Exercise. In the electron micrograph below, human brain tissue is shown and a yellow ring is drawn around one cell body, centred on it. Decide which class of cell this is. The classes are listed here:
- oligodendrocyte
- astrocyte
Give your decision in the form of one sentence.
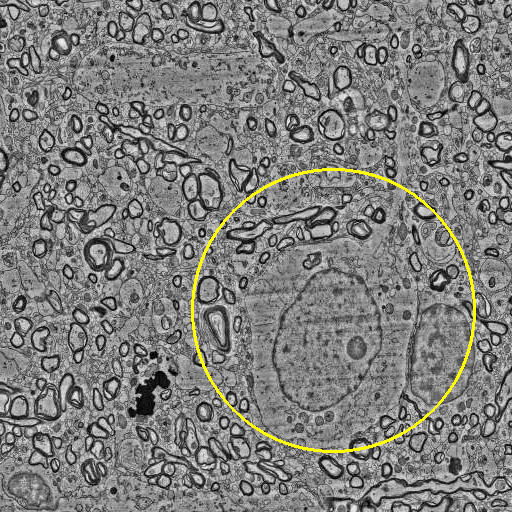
The cell body marked by the ring belongs to an astrocyte.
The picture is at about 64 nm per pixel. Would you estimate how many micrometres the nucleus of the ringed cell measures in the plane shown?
In this plane the nucleus measures roughly 9 by 7 micrometers.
